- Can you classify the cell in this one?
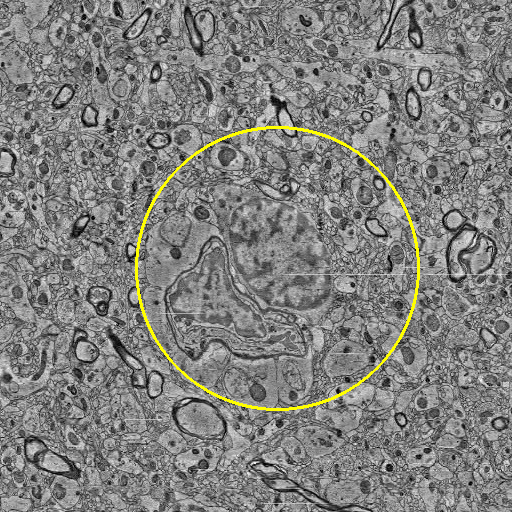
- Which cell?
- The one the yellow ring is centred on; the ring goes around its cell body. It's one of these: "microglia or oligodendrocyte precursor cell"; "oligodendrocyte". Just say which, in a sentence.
The cell body in the ring belongs to an oligodendrocyte.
